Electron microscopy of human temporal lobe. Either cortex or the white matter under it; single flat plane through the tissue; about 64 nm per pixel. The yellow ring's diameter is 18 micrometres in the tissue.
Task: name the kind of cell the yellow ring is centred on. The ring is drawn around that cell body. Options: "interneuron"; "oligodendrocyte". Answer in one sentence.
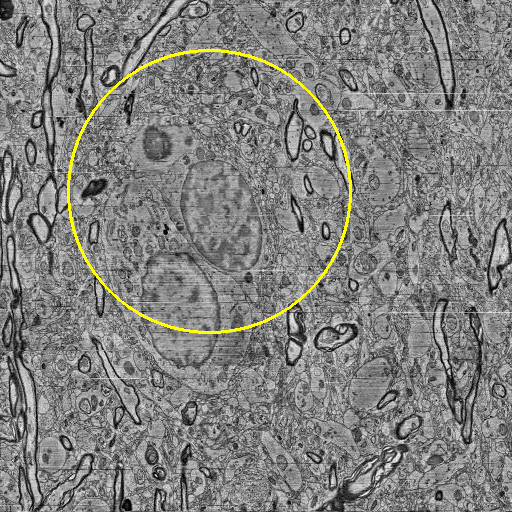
This cell body belongs to an oligodendrocyte.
